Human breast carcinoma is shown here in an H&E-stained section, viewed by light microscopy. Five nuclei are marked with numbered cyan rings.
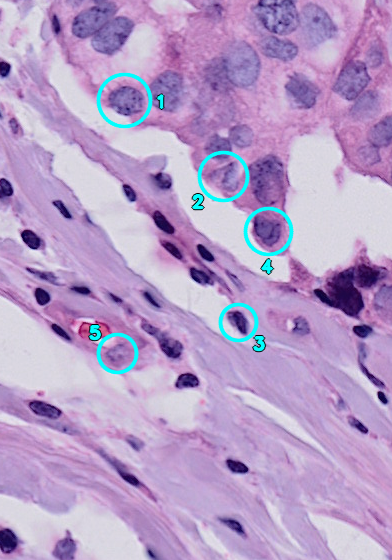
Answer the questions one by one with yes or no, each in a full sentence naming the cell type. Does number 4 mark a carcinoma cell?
Yes, the cell referred to as number 4 is a carcinoma cell.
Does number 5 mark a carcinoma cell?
No, sorry, the cell labelled 5 is not a carcinoma cell; it is an endothelial cell.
